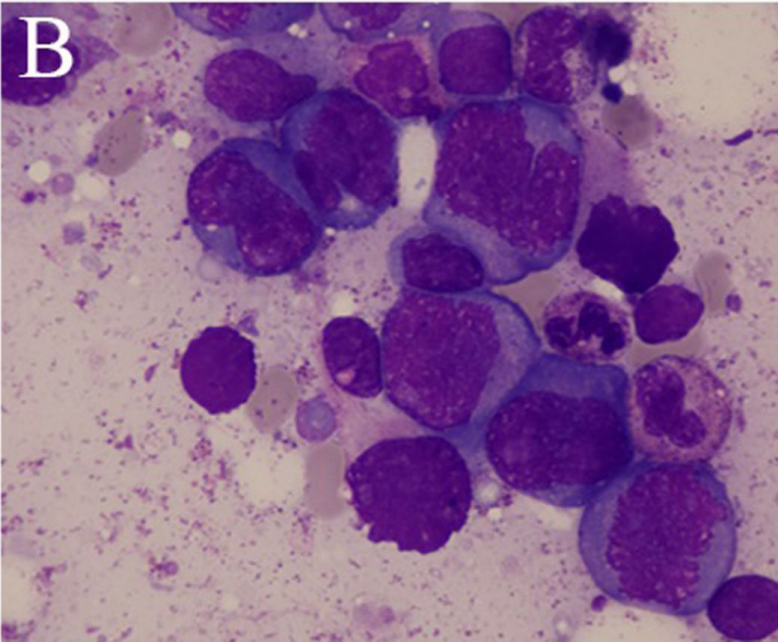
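The large cells vary greatly in size; each has a wide nucleus with coarse, clumped purple chromatin and irregular, notched or lobed outlines, and in some the nucleus appears divided into separate parts. A rim of pale blue-purple cytoplasm surrounds the nuclei. Cells crowd together in a sheet. Nearby lie smaller cells with dense dark round nuclei and a granulocyte with a segmented nucleus and pinkish granular cytoplasm. Fine purple granular debris is scattered across the pale background, with a few pale red cells at the edges.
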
